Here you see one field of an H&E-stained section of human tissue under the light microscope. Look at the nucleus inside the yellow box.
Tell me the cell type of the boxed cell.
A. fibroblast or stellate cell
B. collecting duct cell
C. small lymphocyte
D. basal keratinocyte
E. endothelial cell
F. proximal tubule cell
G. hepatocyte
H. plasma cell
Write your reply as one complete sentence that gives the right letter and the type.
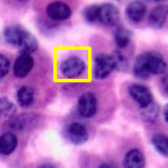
Option H correctly labels the boxed cell as a plasma cell.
